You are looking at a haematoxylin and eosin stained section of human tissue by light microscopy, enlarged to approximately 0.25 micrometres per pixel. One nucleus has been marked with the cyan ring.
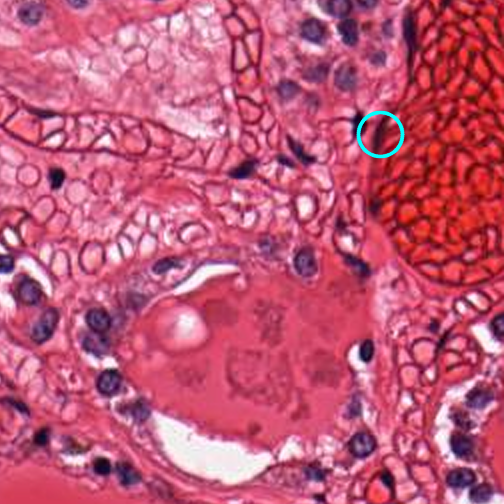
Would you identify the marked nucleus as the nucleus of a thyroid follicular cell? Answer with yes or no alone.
no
